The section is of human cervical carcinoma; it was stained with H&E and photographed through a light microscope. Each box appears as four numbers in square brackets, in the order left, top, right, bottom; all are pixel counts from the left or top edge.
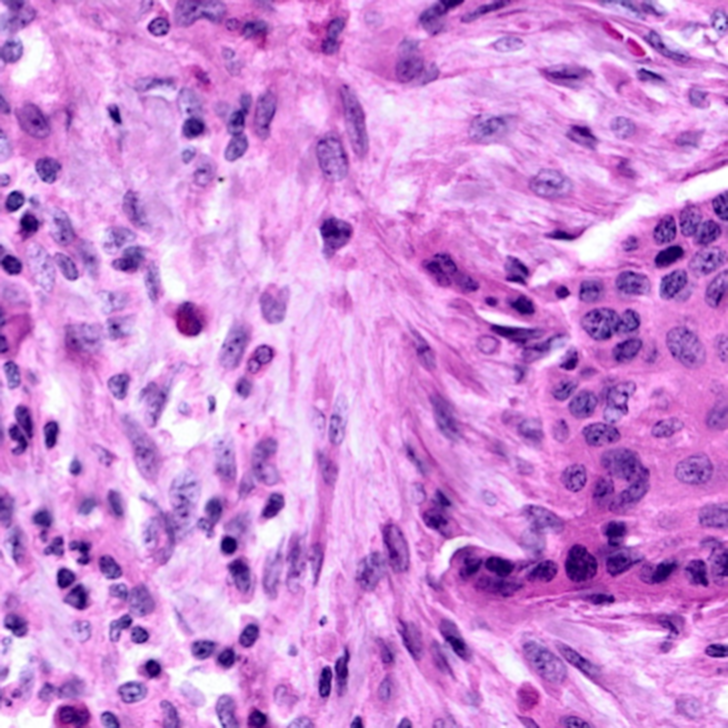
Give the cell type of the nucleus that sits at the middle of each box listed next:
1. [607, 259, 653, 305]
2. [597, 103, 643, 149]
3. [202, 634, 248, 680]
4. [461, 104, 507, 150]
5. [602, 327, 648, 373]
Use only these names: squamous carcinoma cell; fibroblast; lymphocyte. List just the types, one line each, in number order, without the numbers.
squamous carcinoma cell
fibroblast
lymphocyte
fibroblast
squamous carcinoma cell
